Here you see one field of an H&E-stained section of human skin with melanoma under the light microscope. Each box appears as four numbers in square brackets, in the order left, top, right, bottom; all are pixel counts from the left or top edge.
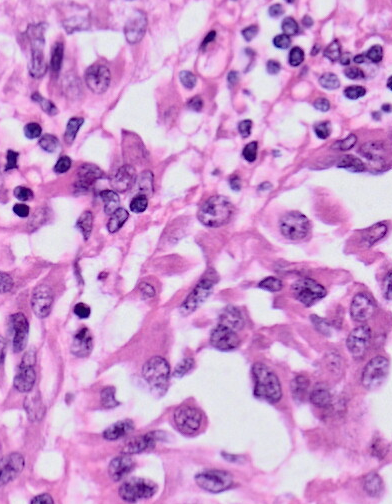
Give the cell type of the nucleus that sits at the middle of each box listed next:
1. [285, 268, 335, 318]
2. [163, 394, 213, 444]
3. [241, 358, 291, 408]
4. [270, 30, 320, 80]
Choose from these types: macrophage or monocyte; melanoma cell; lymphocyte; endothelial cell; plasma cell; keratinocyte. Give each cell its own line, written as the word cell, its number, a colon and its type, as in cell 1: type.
cell 1: melanoma cell
cell 2: melanoma cell
cell 3: melanoma cell
cell 4: lymphocyte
